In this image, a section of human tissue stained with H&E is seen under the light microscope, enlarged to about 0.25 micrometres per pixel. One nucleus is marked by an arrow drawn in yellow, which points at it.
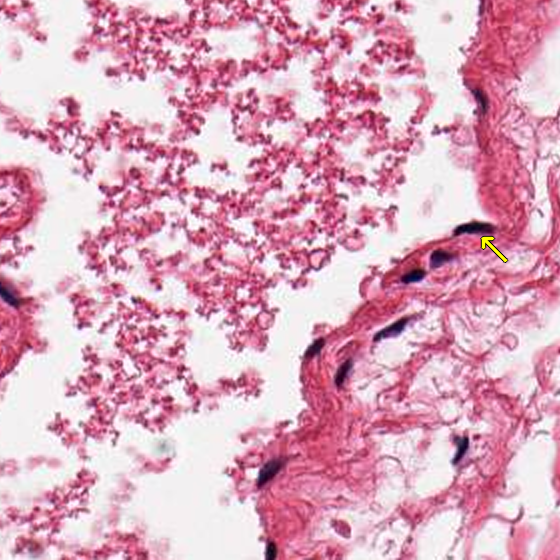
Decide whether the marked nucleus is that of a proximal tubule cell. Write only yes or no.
no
